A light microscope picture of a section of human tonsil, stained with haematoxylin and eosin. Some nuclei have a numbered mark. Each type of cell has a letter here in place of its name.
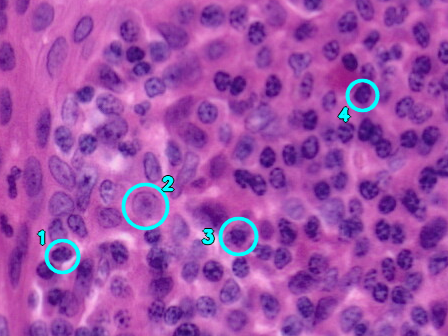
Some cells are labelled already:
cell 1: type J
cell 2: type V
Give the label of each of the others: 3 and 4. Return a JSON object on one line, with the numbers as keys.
{"3": "type J", "4": "type J"}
